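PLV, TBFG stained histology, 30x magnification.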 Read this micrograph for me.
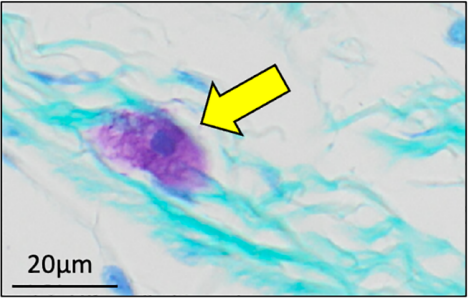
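Here we see a mast cell lying in loose connective tissue beside a lymphatic vessel, and it looks intact and quiet. Look at the cell under the arrow: it is oval and compact, and its cytoplasm is packed with a deep purple, fairly even stain. A round blue nucleus sits near its middle. You cannot pick out large clear holes in the cytoplasm; any vacuoles are small and hard to see. Around it run wavy turquoise strands of collagen fibres, and a few small blue nuclei of other connective tissue cells lie scattered between the fibres.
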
